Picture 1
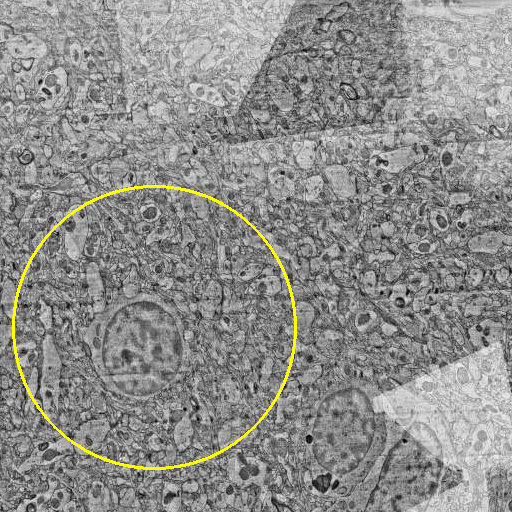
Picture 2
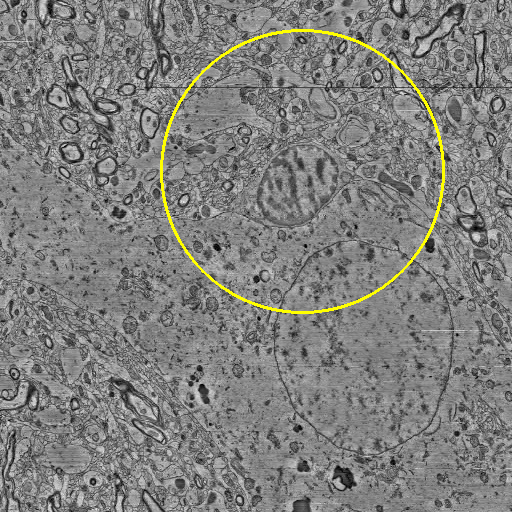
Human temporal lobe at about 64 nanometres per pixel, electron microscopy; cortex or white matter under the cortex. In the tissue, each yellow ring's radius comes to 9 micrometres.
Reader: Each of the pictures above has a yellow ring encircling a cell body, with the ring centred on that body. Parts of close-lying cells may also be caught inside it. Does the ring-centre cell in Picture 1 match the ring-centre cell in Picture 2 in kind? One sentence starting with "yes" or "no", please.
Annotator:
Yes, Picture 1 and Picture 2 show ring-centre cells of a single kind.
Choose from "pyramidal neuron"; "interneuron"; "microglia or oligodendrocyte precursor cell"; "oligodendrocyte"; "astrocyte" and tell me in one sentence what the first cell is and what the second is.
Both pictures show an oligodendrocyte at the centre of the ring.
